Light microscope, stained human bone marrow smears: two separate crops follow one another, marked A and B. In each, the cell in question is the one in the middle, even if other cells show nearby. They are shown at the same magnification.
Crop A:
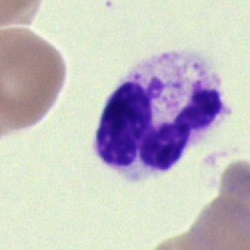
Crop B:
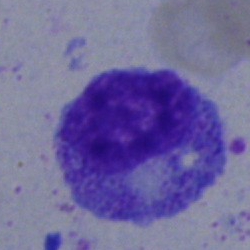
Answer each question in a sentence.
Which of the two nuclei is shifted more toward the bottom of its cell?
The nucleus in crop A lies further toward the bottom of its cell.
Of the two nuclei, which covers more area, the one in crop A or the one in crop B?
Crop B shows the larger nucleus; it covers about 1.5 times the area of the nucleus in crop A.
